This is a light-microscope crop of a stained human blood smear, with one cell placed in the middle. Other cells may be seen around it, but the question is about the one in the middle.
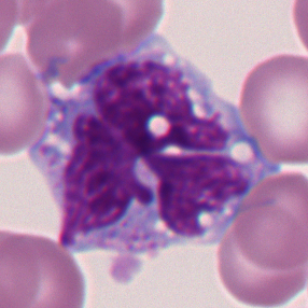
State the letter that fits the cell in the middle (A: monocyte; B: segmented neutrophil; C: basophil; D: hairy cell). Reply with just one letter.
A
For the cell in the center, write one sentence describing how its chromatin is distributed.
No coarse chromatin clumps are present; the pattern is fine.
